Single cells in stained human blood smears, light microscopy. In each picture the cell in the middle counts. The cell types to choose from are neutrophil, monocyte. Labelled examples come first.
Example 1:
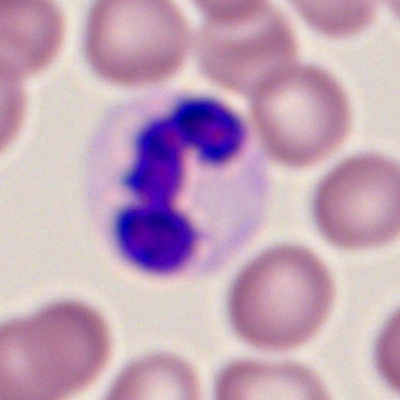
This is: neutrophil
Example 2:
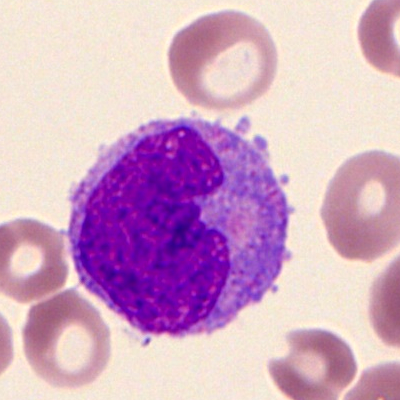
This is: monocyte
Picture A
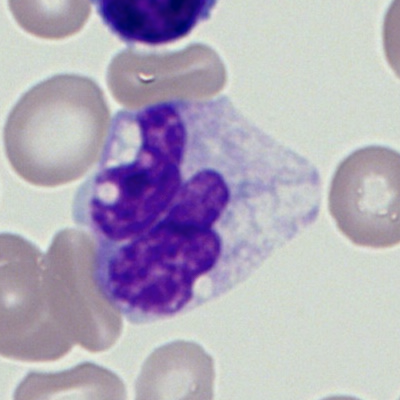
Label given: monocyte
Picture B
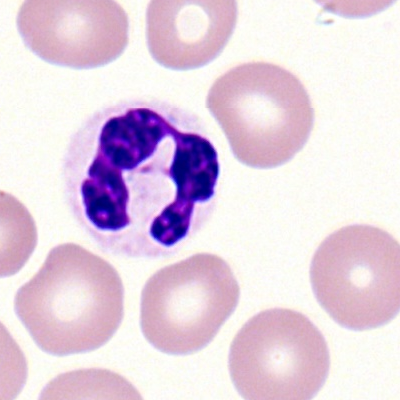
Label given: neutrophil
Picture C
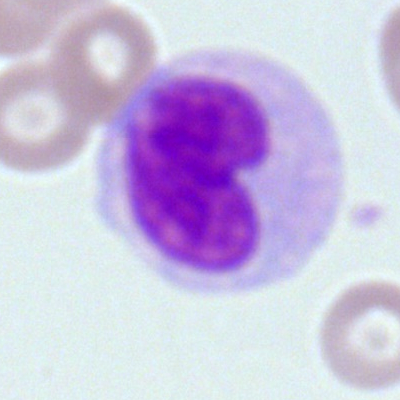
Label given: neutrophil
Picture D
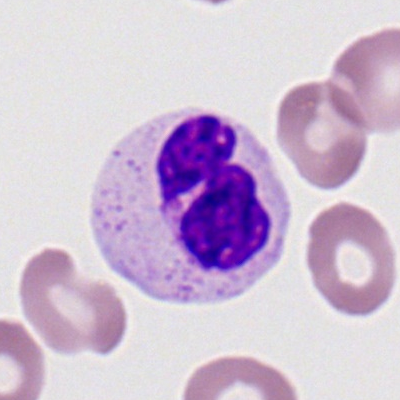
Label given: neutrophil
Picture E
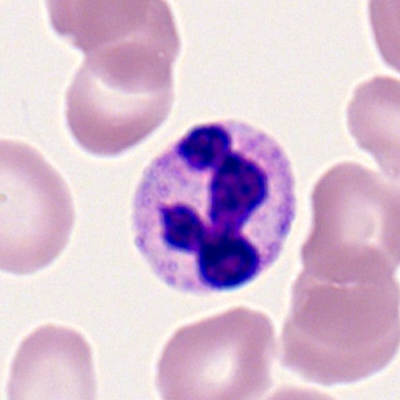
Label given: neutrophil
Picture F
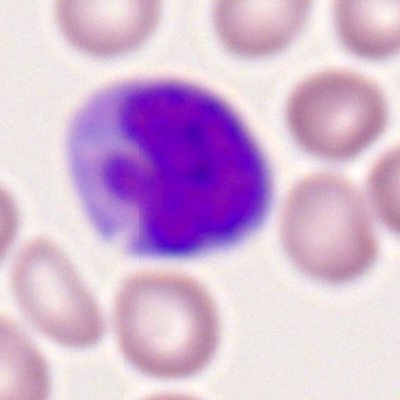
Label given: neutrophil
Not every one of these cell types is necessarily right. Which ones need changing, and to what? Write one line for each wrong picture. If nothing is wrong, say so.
C: change neutrophil to monocyte
F: change neutrophil to monocyte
